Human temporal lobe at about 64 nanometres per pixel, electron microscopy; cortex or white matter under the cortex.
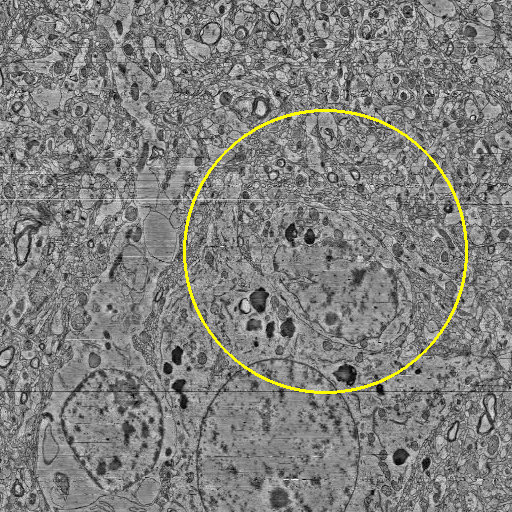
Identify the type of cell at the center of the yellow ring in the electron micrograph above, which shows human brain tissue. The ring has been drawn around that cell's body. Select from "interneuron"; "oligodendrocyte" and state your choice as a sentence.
The yellow ring is centered on the body of an interneuron.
